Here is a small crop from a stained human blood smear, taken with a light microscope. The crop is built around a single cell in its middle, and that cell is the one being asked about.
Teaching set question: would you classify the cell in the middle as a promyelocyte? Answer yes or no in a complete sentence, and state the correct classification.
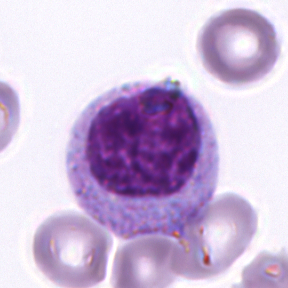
No, the central cell is not a promyelocyte, being instead a myelocyte.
